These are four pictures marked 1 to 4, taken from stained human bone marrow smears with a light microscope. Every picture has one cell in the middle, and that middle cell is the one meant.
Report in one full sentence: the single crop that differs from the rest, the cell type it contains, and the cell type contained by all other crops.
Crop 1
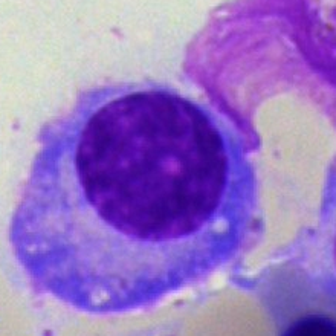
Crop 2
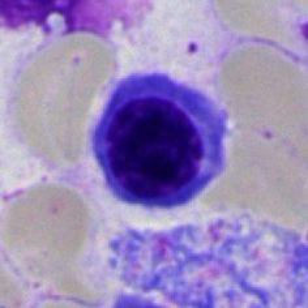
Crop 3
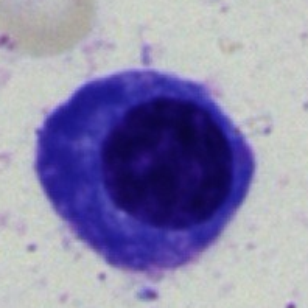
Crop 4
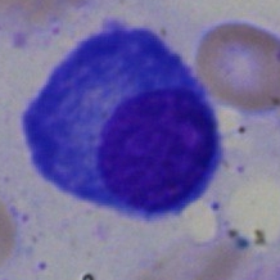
Every crop but one shows plasma cells; the exception, crop 2, shows an erythroblast.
